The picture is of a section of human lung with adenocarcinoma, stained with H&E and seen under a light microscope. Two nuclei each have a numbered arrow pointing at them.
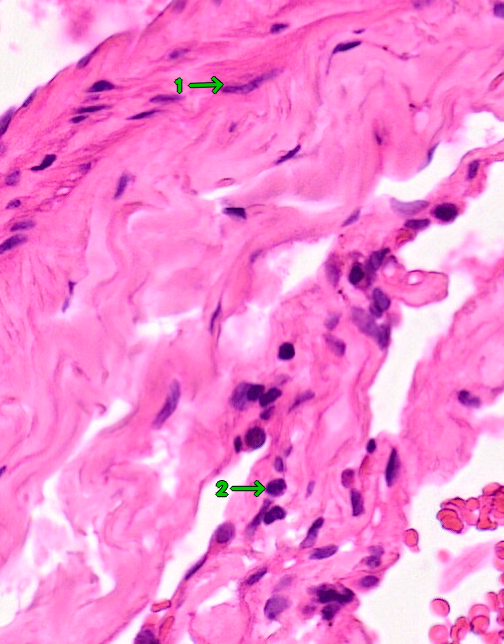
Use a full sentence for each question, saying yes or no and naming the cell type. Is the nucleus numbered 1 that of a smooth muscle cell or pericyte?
Yes, regarding number 1, the cell is a smooth muscle cell or pericyte.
